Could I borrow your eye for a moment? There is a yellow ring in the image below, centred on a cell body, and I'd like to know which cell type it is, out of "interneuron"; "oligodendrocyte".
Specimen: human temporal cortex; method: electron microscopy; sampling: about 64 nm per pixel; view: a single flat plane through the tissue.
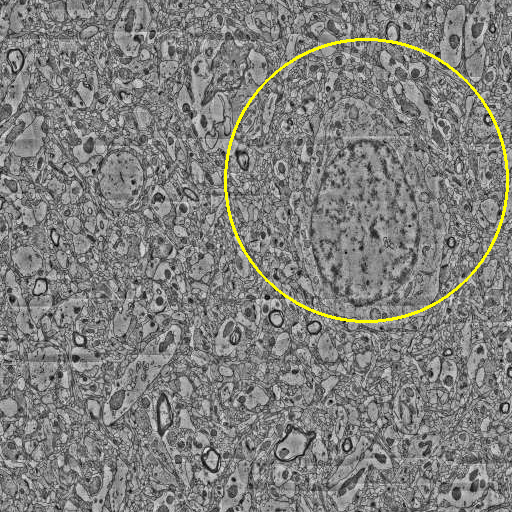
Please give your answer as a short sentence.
The cell body at the centre is that of an interneuron.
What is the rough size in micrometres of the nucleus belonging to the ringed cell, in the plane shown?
The nucleus comes to roughly 10 by 7 micrometres in this plane.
